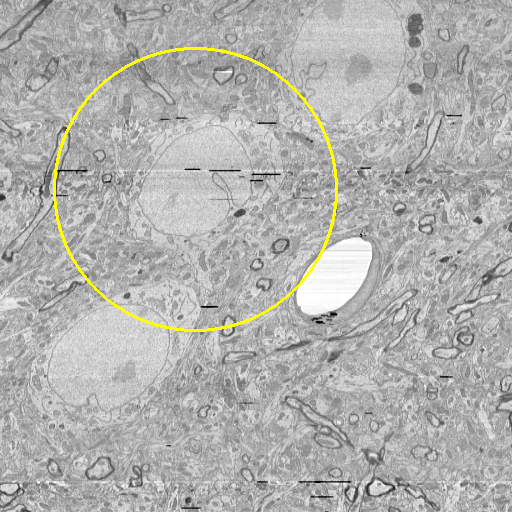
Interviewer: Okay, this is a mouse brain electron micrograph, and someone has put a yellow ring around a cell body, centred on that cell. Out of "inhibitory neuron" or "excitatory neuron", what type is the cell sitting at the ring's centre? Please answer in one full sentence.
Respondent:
The cell at the centre of the yellow ring in this picture is an excitatory neuron.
